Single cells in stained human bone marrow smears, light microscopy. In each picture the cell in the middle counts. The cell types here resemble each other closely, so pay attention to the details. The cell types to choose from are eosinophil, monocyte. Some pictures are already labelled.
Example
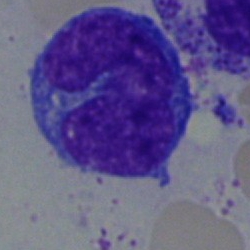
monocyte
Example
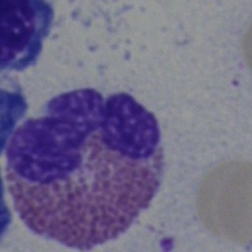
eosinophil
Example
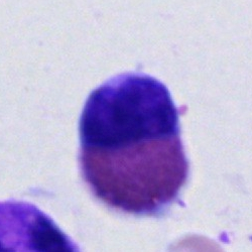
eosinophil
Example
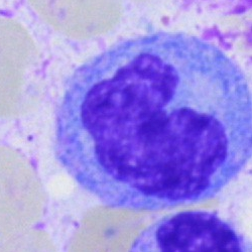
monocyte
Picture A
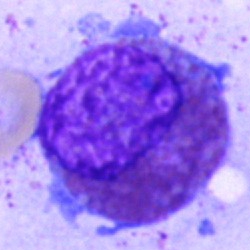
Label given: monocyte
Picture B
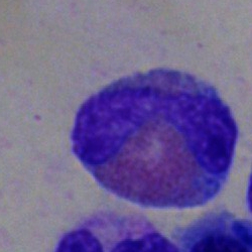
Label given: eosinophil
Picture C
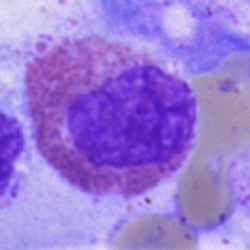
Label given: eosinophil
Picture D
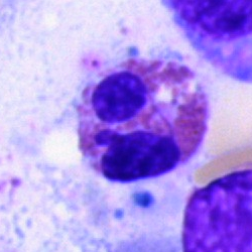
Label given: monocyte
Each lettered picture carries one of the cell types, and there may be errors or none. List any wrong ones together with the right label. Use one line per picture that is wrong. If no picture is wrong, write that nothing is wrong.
A: not monocyte but eosinophil
D: not monocyte but eosinophil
